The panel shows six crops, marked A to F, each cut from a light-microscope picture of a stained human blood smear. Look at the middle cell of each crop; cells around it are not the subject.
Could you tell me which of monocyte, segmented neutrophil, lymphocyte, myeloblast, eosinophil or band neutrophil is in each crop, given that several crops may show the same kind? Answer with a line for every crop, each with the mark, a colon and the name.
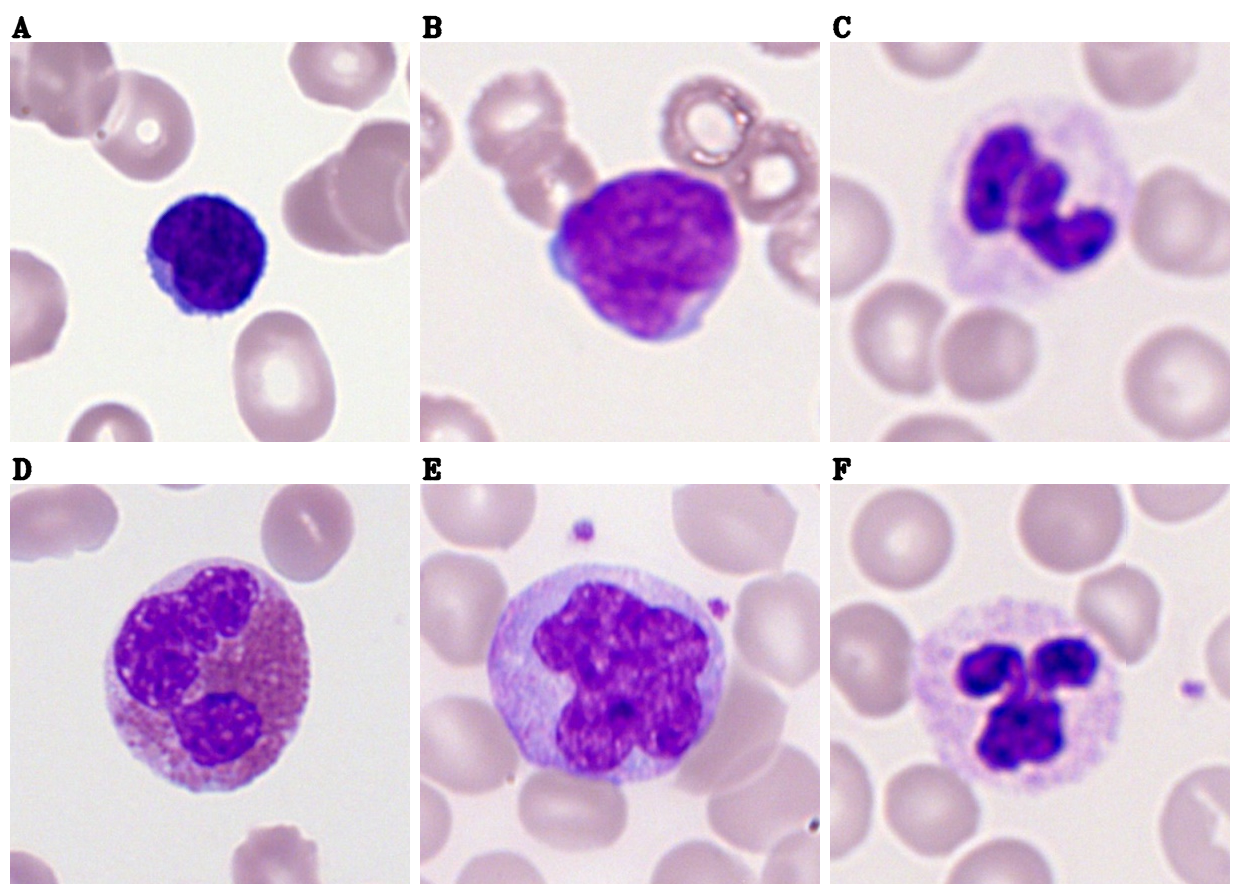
A: lymphocyte
B: myeloblast
C: segmented neutrophil
D: eosinophil
E: monocyte
F: segmented neutrophil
